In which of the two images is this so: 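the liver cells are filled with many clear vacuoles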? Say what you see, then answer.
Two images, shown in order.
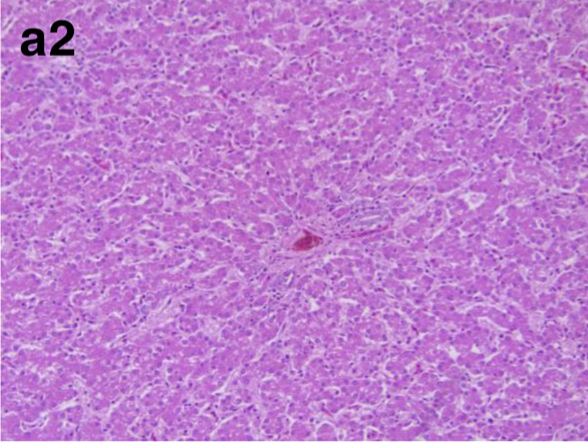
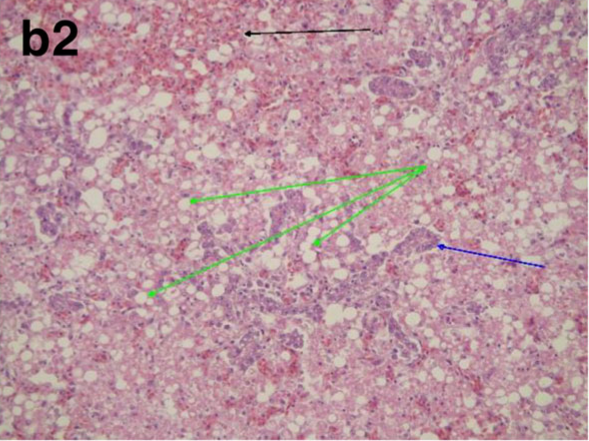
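Second image: numerous round clear vacuoles are spread throughout the tissue. First image: the cells have evenly pink cytoplasm without clear vacuoles. So: the second image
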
